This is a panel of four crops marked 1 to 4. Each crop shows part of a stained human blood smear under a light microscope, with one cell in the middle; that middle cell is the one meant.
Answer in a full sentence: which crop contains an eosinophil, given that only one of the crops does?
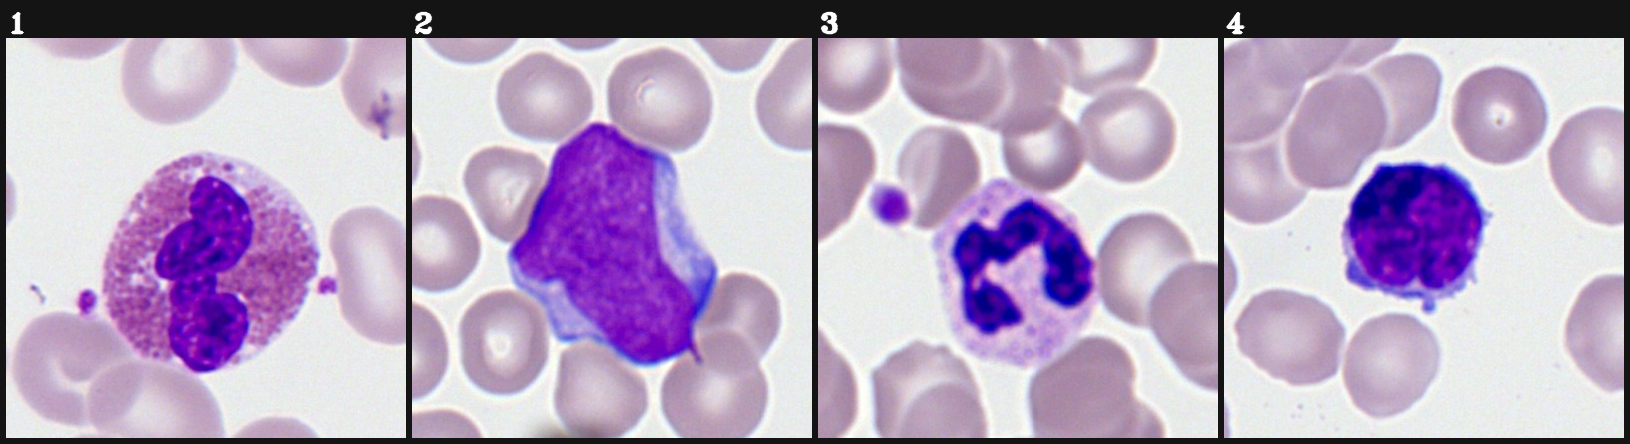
Crop 1, of the crops presented, is the one showing an eosinophil.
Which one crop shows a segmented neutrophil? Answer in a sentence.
Crop 3 is the crop containing a segmented neutrophil.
